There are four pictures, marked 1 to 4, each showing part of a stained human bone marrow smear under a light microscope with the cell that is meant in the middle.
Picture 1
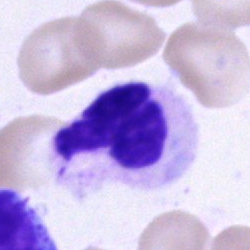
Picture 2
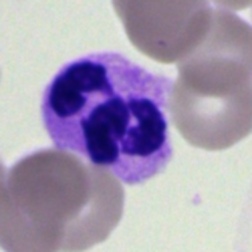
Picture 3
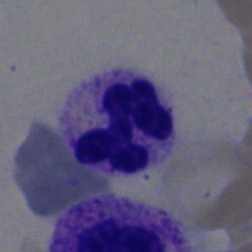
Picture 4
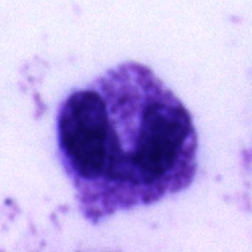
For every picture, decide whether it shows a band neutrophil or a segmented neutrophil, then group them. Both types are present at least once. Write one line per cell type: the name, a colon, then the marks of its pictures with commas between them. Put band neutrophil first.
band neutrophil: 4
segmented neutrophil: 1, 2, 3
